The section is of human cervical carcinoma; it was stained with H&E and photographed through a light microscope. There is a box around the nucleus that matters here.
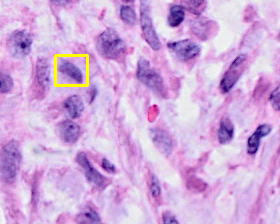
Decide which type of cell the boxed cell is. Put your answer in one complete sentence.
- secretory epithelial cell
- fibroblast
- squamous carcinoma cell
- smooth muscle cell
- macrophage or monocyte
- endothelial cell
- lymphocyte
Microscopically, the boxed cell is categorized as a fibroblast.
